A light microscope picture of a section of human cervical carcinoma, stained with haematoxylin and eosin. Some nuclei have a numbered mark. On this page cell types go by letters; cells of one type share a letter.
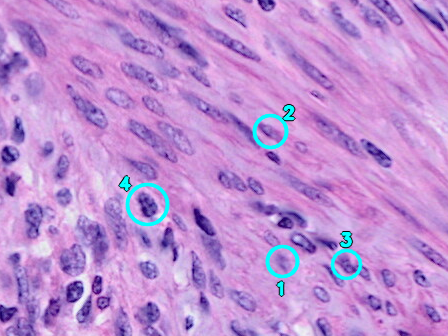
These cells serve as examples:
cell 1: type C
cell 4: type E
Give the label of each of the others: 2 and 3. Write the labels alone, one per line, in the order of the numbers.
type C
type C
